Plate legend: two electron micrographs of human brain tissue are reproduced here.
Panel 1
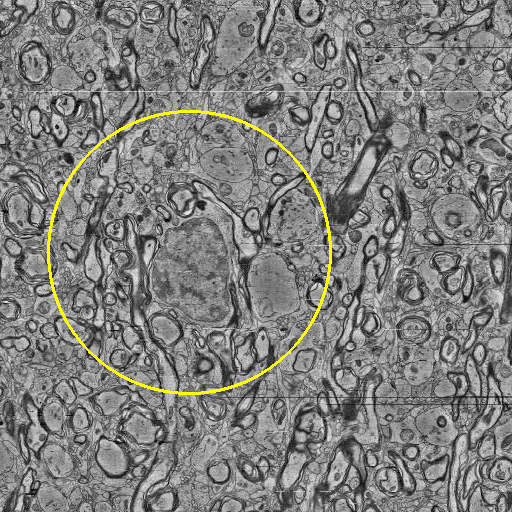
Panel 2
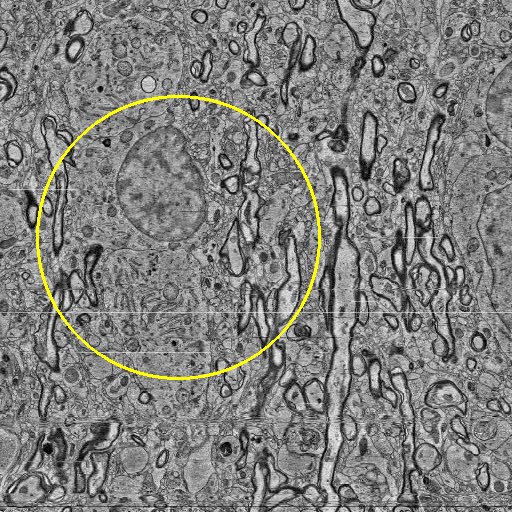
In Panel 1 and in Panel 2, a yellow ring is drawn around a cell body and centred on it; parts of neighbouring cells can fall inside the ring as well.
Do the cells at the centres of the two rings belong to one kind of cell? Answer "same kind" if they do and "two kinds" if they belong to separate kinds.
same kind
